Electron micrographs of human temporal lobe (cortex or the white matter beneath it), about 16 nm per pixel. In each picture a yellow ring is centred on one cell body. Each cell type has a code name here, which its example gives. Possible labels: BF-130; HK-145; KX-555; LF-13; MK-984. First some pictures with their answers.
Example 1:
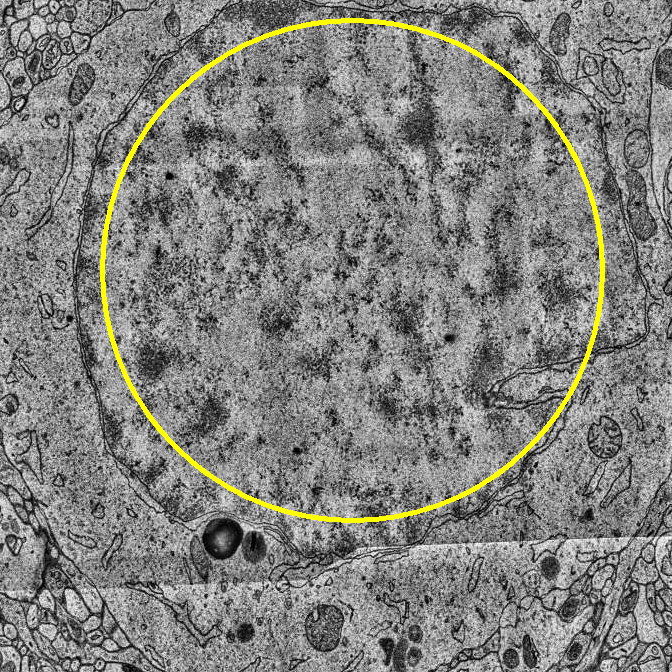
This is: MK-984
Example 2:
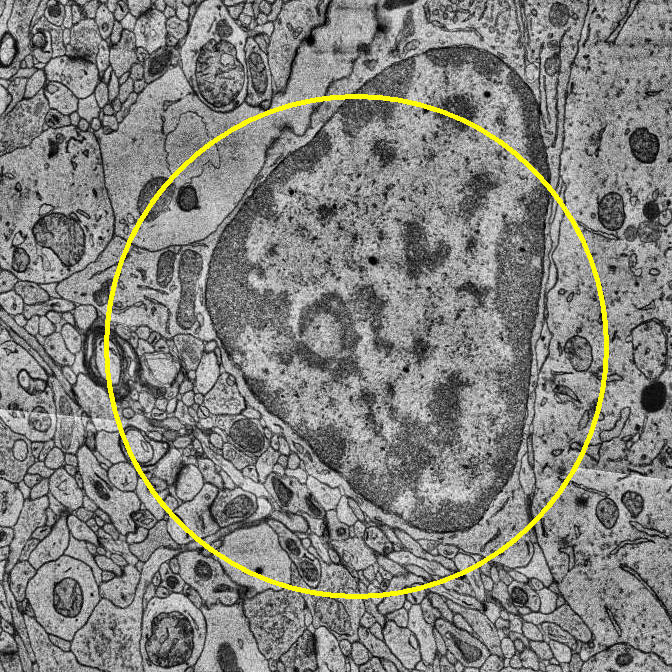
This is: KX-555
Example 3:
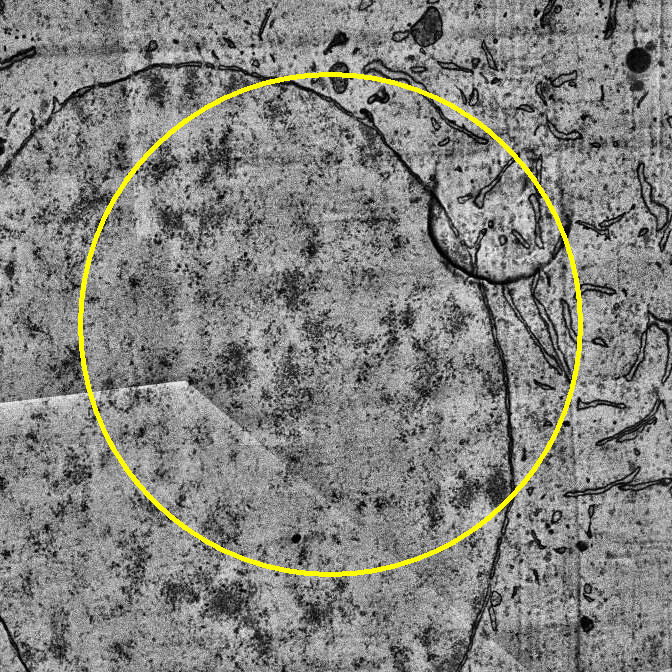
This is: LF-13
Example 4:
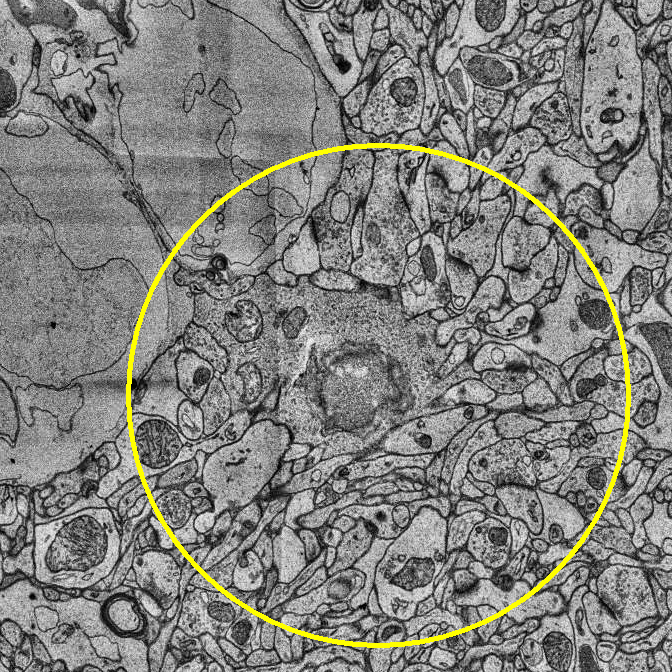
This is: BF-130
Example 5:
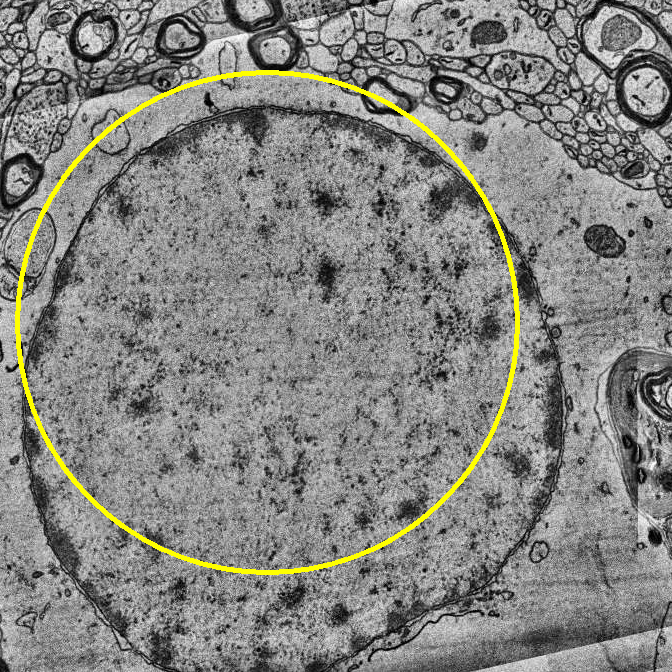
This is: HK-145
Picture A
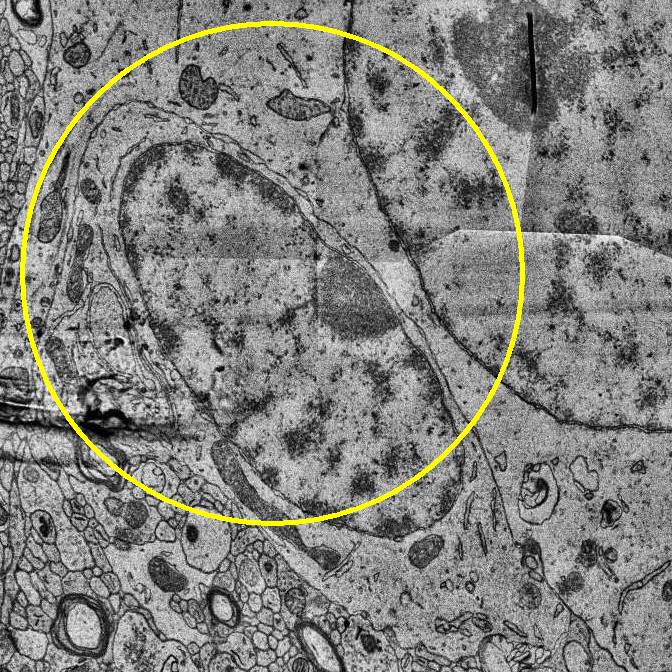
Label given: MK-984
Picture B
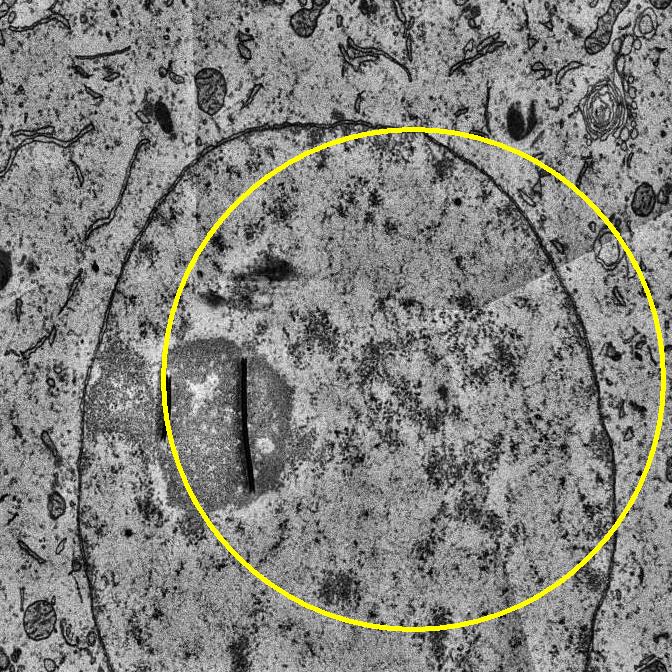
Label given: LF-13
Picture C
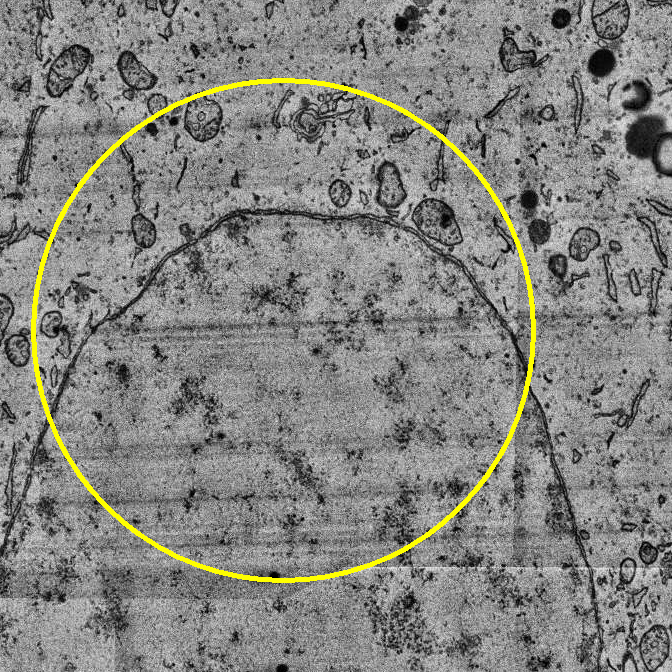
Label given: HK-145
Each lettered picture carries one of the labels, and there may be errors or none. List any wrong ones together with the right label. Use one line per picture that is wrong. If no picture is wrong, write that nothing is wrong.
A: change MK-984 to KX-555
C: change HK-145 to LF-13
